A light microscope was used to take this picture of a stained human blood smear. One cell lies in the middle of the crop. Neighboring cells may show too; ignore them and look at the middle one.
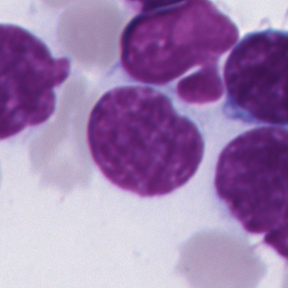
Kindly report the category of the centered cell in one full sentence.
In this smear crop, the middle cell is a myeloblast.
